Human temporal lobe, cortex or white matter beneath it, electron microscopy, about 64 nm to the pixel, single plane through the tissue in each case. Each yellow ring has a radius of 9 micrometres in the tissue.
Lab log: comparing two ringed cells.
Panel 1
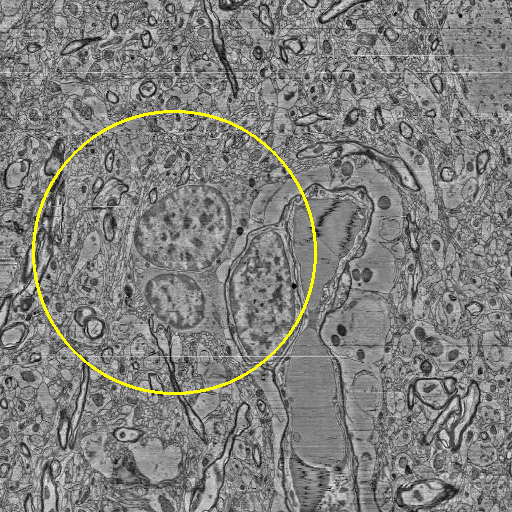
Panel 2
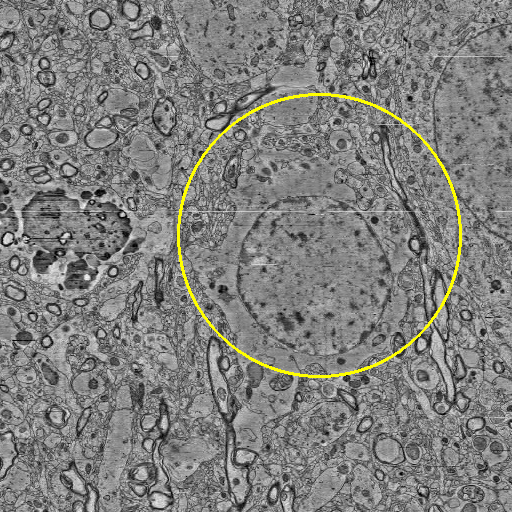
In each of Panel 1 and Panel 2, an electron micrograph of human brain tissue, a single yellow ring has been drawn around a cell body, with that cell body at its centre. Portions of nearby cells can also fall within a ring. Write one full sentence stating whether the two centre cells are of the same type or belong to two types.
The cells at the ring centres in Panel 1 and Panel 2 belong to two types.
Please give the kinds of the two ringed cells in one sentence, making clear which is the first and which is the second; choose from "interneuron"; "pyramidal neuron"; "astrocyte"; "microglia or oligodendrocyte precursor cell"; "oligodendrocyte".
In the second picture the ringed cell is an astrocyte; in the first it is an oligodendrocyte.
